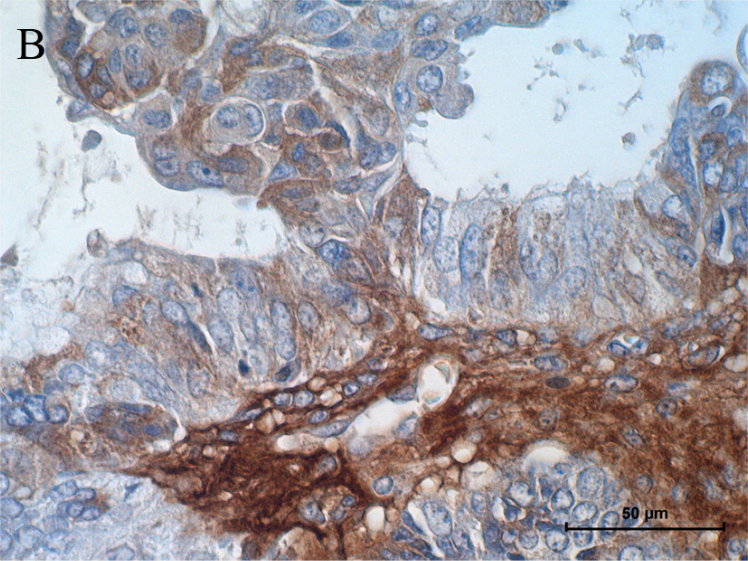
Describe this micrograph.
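Cancer cells with large oval blue nuclei form a columnar layer and a crowded cluster around a gland-like space, and a narrow band of stroma runs beneath them. The stroma stains an intense dark brown, and lighter brown stain also fills the cytoplasm of many of the tumour cells, especially in the upper cluster.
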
